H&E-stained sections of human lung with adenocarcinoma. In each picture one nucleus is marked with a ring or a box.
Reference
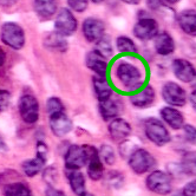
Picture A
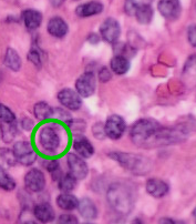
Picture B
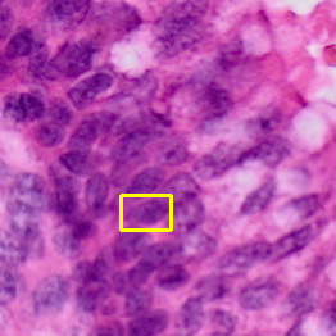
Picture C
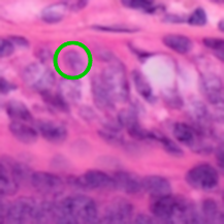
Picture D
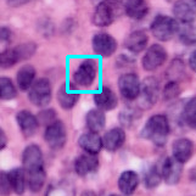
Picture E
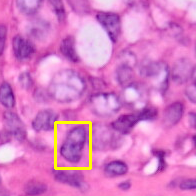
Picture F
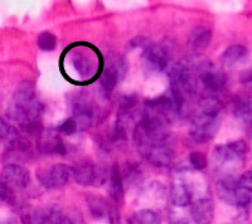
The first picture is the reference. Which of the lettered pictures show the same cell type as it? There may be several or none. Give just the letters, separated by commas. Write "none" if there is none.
A, D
